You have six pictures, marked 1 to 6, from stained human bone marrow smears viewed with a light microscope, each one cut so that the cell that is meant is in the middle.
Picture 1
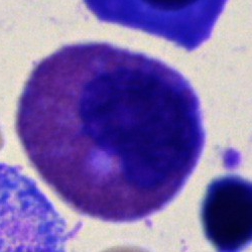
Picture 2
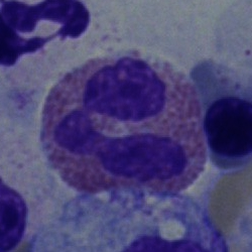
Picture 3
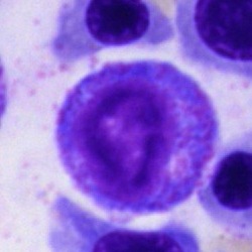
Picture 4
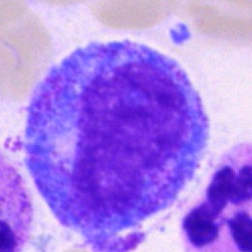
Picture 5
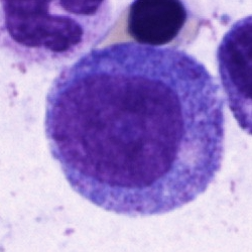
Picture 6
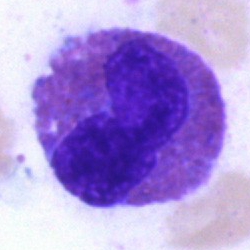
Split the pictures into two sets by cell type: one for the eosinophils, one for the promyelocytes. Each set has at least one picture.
1: eosinophil
2: eosinophil
3: promyelocyte
4: promyelocyte
5: promyelocyte
6: eosinophil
